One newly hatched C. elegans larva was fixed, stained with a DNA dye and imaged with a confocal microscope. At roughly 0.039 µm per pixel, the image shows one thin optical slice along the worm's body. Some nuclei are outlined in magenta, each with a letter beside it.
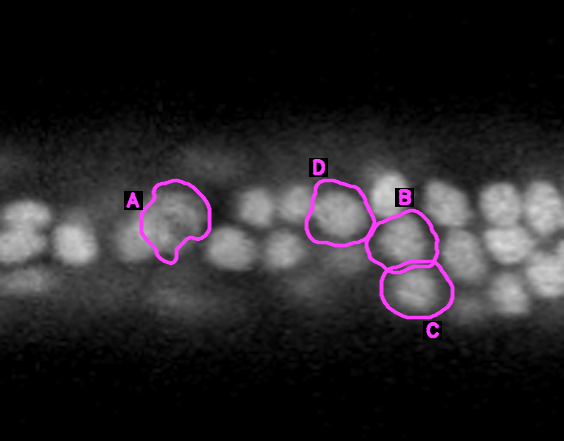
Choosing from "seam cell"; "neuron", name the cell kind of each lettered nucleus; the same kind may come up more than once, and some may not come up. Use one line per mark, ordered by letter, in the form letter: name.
A: seam cell
B: neuron
C: neuron
D: neuron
